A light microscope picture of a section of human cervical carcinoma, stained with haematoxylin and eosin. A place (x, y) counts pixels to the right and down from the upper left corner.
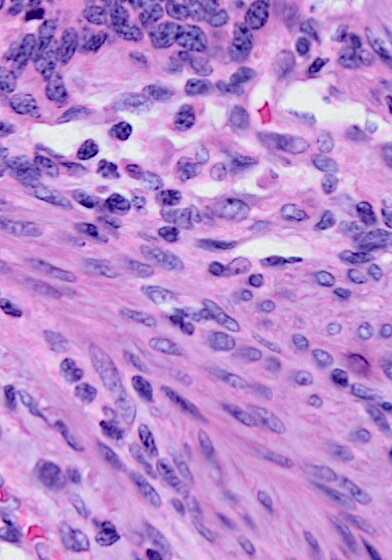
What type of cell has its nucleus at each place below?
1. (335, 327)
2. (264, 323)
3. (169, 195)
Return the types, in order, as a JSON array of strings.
["smooth muscle cell", "smooth muscle cell", "lymphocyte"]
